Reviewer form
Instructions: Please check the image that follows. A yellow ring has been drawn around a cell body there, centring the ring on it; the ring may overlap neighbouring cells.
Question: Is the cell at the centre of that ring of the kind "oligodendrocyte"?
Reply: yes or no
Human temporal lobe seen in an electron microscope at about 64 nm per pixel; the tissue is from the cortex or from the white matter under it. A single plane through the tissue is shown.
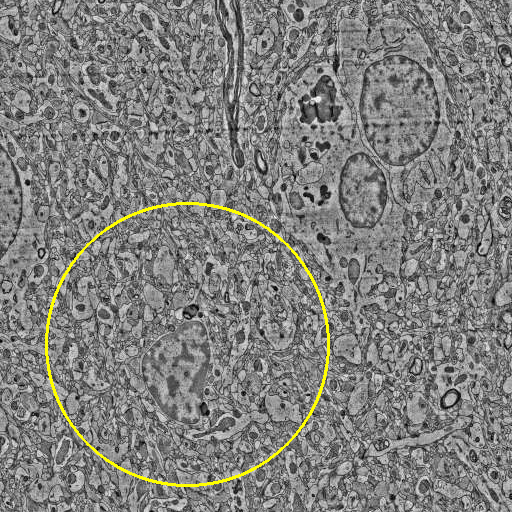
no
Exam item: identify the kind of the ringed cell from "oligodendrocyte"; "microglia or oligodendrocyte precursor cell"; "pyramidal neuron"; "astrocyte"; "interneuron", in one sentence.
So the cell at the centre is a microglial cell or oligodendrocyte precursor cell.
